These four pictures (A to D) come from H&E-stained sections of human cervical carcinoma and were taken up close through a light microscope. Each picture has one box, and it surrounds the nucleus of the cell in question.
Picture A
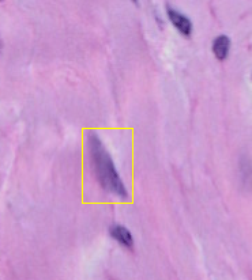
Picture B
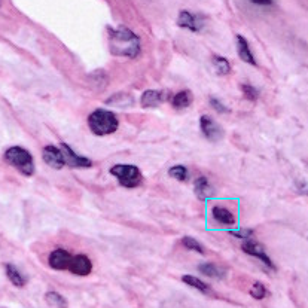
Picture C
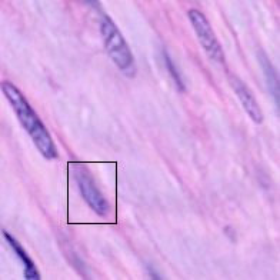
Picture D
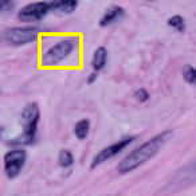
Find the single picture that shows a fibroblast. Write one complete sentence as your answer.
It is picture A that shows the fibroblast.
